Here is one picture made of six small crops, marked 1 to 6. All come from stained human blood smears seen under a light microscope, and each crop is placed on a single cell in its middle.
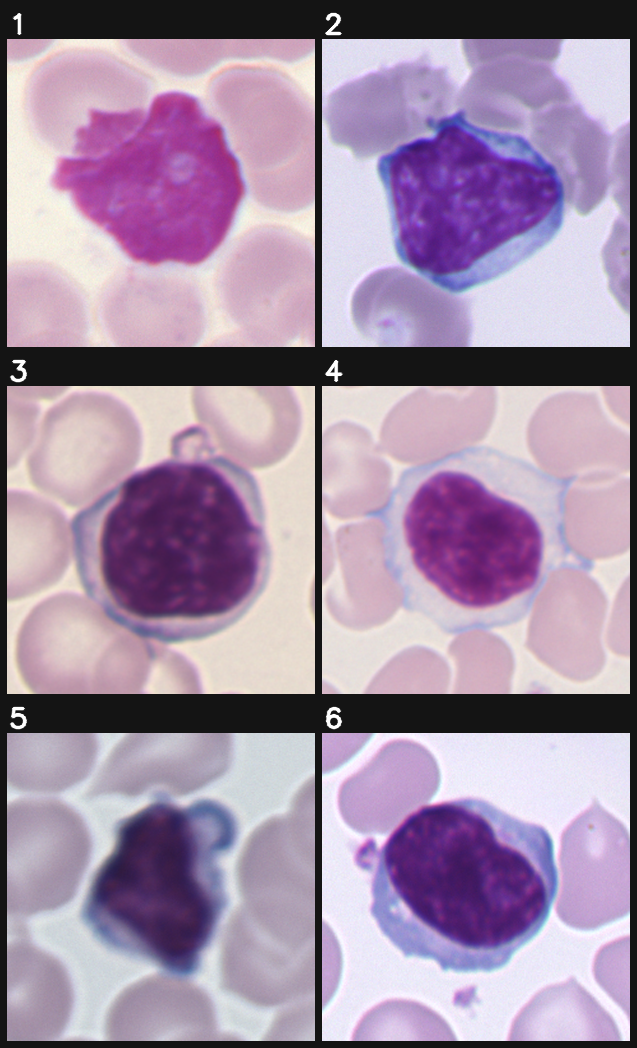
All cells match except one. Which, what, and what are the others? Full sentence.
The single exception is crop 1, which is a smudge cell; all other crops show typical lymphocytes.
